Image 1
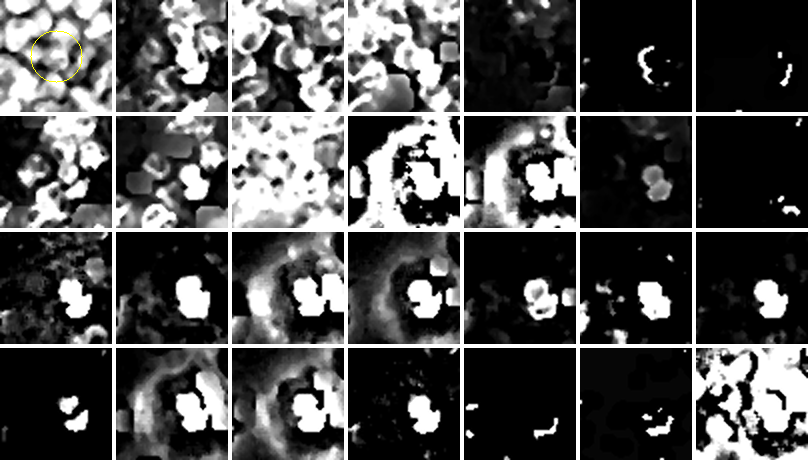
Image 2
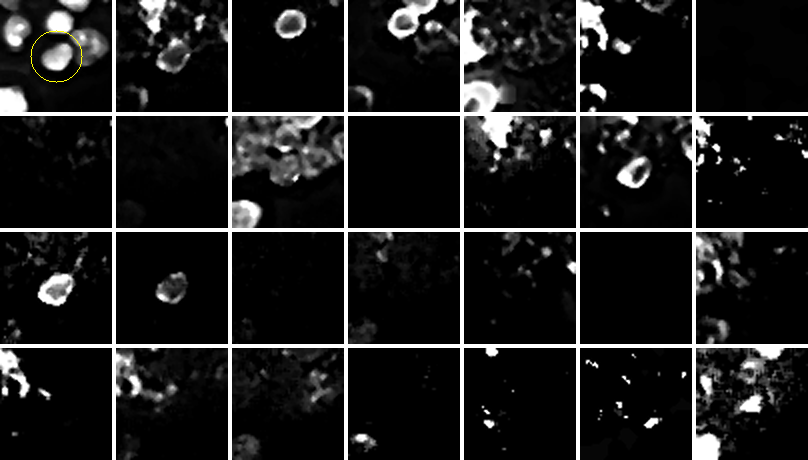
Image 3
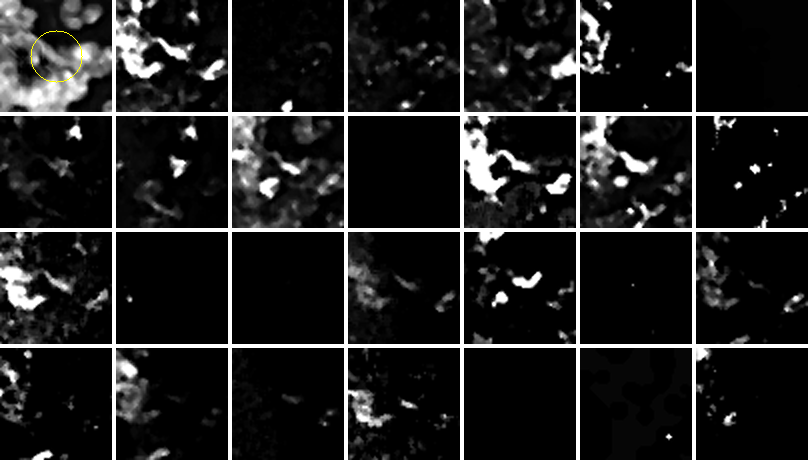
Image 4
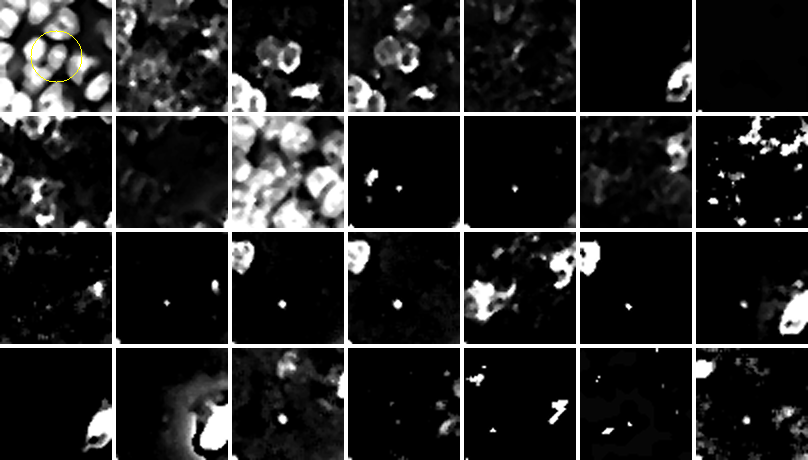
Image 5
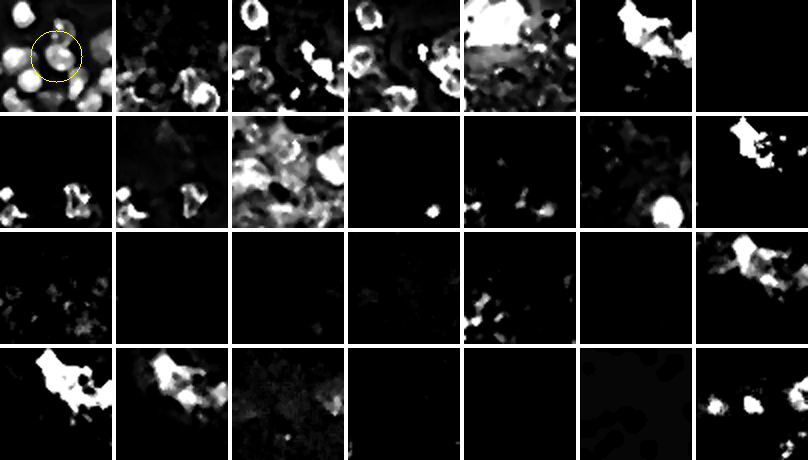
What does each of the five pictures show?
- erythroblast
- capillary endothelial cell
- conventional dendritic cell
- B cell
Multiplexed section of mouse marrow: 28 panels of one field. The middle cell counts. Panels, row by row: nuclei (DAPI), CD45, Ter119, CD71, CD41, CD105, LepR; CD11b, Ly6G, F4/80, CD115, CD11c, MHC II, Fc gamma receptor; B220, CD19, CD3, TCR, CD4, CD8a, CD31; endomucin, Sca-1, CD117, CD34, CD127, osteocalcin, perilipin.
(1) B cell
(2) B cell
(3) conventional dendritic cell
(4) erythroblast
(5) capillary endothelial cell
